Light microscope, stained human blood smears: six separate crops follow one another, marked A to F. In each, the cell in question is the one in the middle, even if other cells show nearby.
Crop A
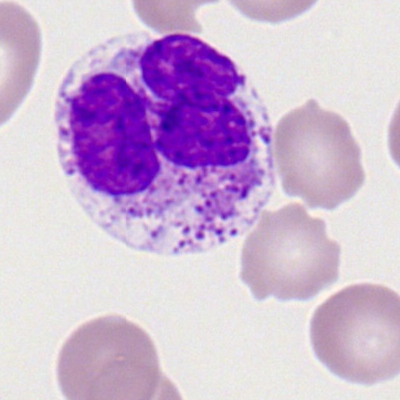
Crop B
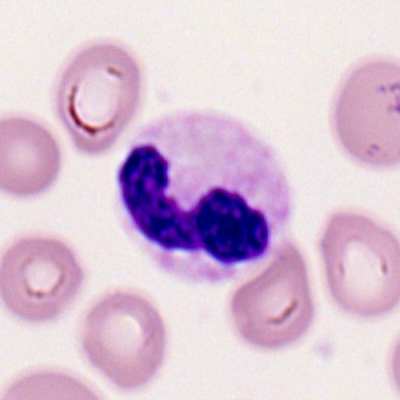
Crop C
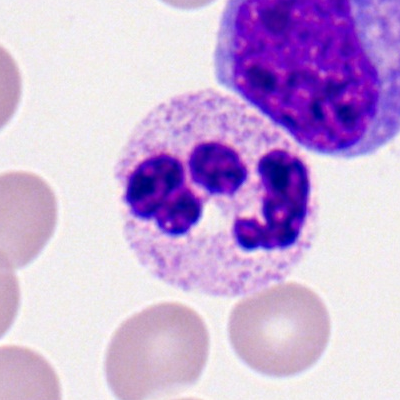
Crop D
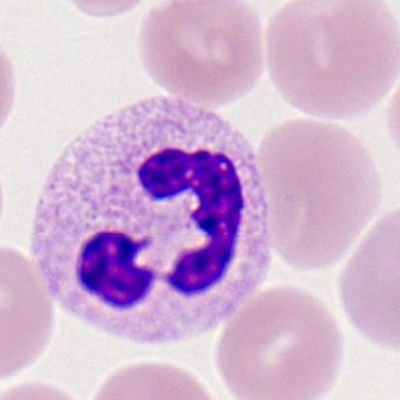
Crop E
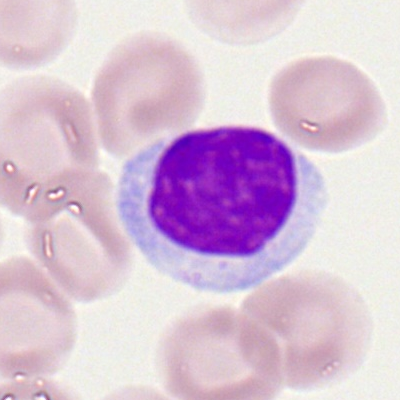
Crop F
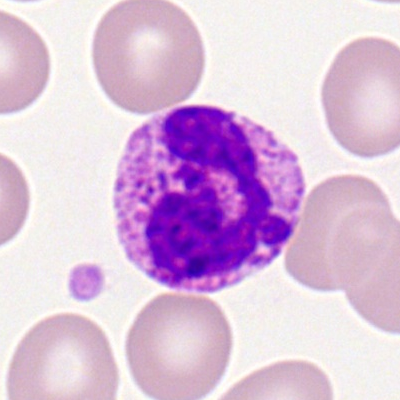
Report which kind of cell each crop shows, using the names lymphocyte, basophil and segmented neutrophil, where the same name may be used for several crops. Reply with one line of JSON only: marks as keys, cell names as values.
{"A": "basophil", "B": "segmented neutrophil", "C": "segmented neutrophil", "D": "segmented neutrophil", "E": "lymphocyte", "F": "basophil"}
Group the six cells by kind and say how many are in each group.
segmented neutrophil: 3
basophil: 2
lymphocyte: 1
